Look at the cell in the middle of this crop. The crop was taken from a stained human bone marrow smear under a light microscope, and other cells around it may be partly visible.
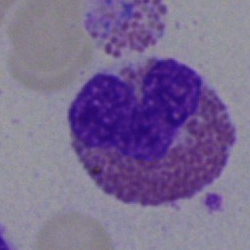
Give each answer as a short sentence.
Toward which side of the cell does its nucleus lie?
The nucleus is pushed toward the upper left of the cell.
